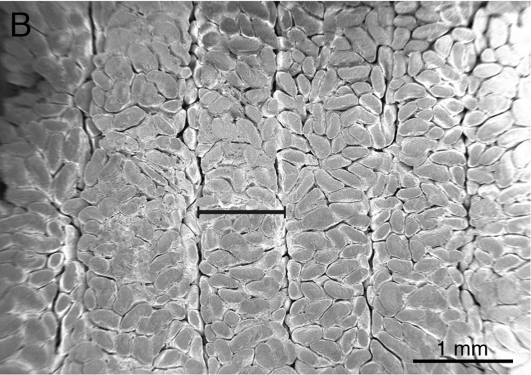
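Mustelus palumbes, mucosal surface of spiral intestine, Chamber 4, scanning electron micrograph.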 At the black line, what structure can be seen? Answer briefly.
large ridges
